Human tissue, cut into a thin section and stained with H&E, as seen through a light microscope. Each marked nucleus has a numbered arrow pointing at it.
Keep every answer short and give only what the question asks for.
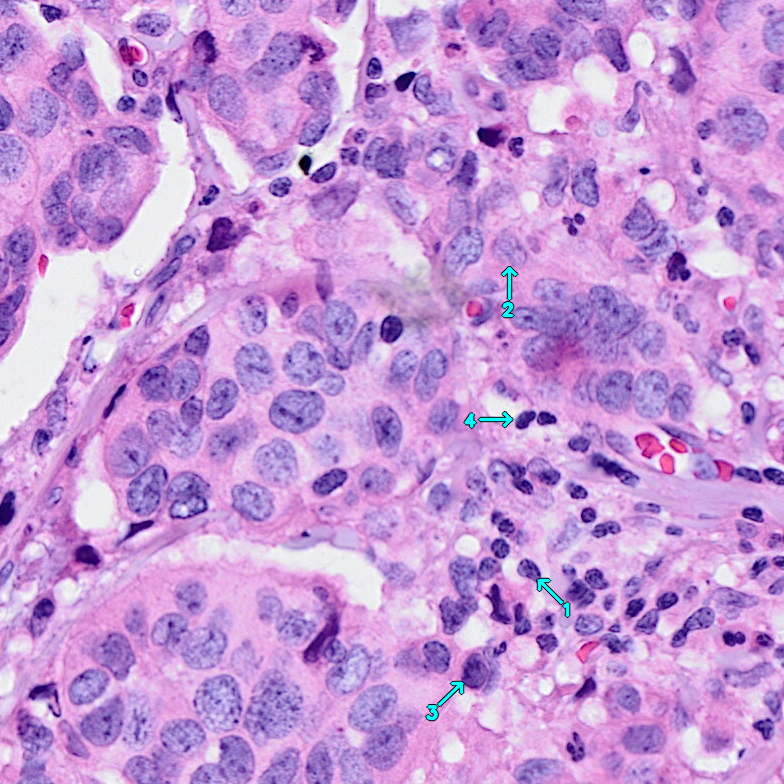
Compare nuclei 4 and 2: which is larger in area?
2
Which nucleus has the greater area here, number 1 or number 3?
3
